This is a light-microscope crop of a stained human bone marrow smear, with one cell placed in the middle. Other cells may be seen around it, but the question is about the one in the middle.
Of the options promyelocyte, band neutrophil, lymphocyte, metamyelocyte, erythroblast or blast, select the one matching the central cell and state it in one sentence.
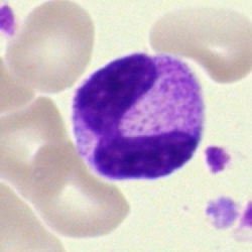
The identification for the central cell is a band neutrophil.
